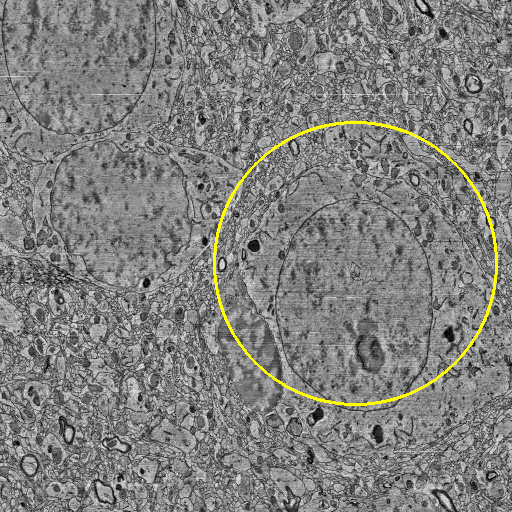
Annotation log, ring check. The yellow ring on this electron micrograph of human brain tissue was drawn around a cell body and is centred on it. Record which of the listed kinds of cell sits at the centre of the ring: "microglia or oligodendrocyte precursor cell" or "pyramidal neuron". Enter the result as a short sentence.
The cell at the centre of the ring is a pyramidal neuron.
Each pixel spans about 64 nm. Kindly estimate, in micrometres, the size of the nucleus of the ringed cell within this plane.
The nucleus of the ringed cell is approximately 14 by 10 micrometres in this plane.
